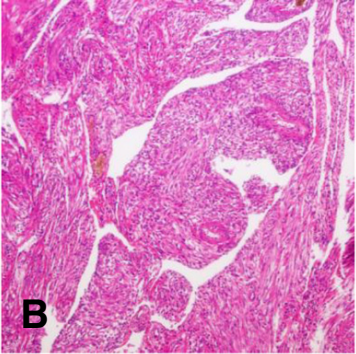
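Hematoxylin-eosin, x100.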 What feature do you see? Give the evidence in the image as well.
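Bundles of elongated pink cells with elongated nuclei. The bundles run in different directions and are separated by clefts.
Spindle cell fascicles.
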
